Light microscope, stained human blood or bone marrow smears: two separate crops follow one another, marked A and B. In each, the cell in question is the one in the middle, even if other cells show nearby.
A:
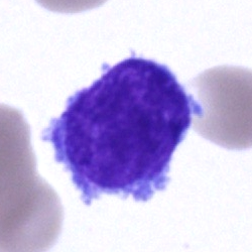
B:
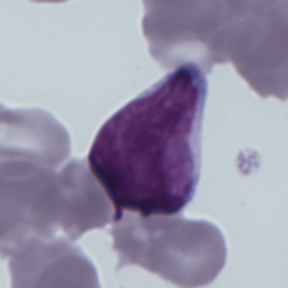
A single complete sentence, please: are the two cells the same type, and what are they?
Yes, these two crops both show blasts.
